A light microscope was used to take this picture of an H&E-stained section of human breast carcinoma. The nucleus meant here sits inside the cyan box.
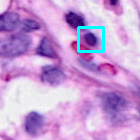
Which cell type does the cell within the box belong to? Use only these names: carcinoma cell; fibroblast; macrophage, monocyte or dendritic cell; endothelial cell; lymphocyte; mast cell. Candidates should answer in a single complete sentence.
The identity of the cell within the box: it is an endothelial cell.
